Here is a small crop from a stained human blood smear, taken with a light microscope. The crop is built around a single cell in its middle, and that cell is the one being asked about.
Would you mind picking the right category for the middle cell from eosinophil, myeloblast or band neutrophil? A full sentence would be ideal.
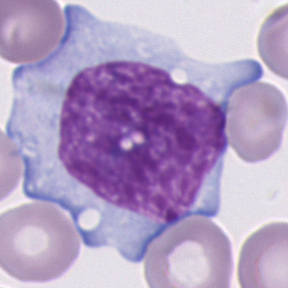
Of the cells in this crop, the central one is a myeloblast.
